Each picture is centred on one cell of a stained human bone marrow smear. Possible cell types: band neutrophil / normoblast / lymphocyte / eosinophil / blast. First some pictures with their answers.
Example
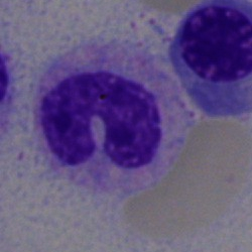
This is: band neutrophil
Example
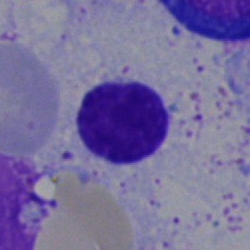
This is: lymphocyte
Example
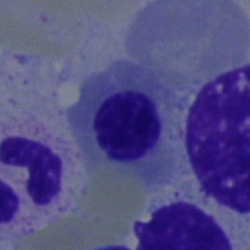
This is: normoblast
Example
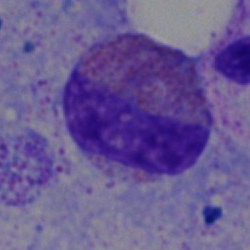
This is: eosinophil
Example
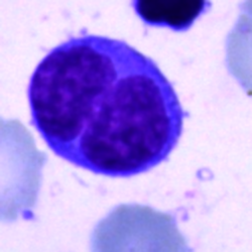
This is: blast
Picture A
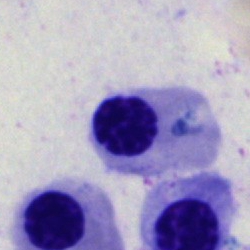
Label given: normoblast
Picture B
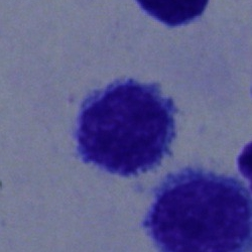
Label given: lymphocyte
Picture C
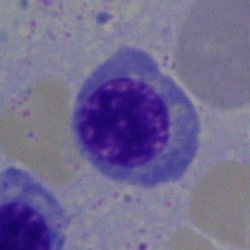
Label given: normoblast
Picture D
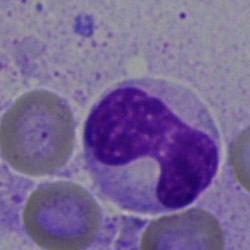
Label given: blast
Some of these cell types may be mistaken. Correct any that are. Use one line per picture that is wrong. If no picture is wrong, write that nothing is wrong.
D: band neutrophil, not blast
